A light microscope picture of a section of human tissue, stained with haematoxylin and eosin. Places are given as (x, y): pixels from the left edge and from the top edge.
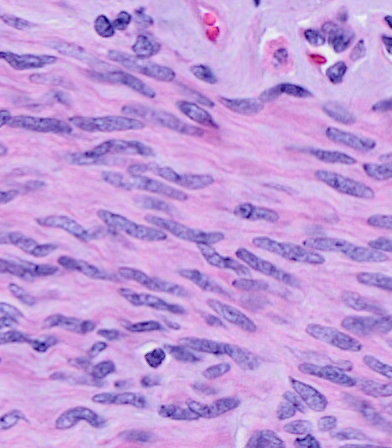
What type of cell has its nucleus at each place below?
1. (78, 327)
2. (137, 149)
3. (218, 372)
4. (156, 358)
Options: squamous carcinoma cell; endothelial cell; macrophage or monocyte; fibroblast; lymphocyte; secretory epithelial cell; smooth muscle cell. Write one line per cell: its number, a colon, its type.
1: smooth muscle cell
2: smooth muscle cell
3: smooth muscle cell
4: lymphocyte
